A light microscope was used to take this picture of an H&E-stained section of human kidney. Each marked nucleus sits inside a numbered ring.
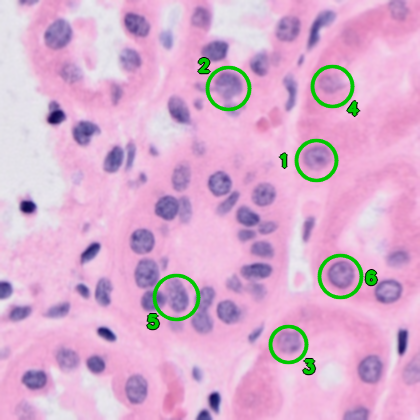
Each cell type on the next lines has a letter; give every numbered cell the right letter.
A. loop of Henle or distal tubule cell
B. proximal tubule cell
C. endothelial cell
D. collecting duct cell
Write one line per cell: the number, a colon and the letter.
1: B
2: A
3: B
4: B
5: D
6: B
